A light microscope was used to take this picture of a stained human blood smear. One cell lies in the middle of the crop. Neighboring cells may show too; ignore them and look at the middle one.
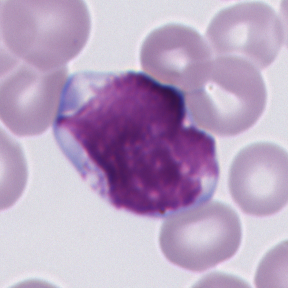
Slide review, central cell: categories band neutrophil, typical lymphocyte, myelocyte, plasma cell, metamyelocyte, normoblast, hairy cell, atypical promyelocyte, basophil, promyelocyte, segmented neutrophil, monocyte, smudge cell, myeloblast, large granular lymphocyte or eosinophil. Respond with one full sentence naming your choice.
The crop's centre is taken up by a large granular lymphocyte.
